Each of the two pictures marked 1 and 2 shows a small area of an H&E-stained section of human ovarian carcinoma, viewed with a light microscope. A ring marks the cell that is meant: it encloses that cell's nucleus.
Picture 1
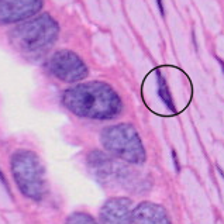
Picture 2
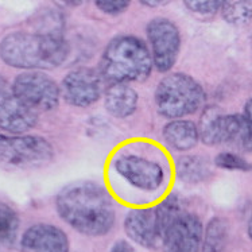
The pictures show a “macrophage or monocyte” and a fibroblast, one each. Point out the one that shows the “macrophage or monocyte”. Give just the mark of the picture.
2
